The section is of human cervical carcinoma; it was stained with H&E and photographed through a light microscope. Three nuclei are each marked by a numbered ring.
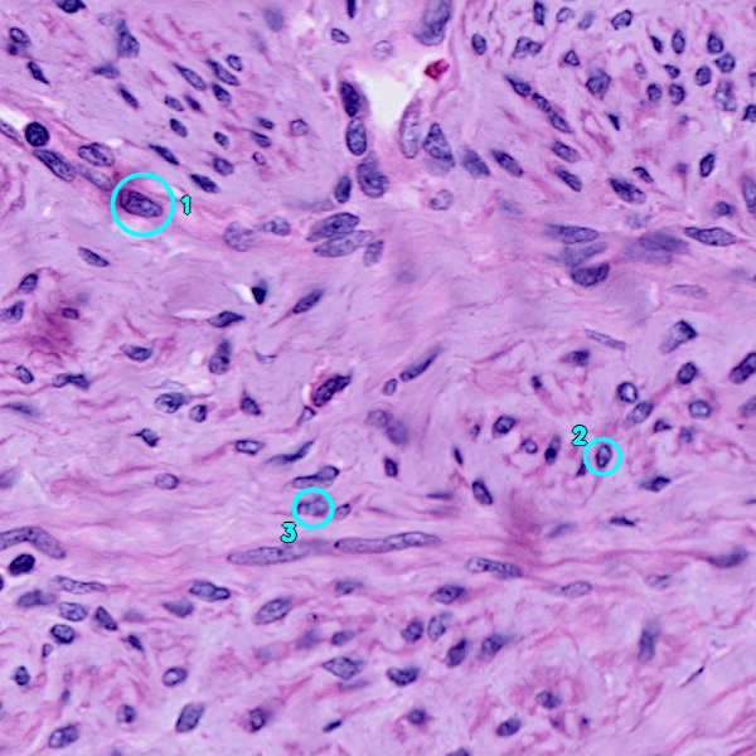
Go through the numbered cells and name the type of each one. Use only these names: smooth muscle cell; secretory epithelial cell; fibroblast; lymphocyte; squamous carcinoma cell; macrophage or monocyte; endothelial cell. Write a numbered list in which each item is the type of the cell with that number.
1. endothelial cell
2. smooth muscle cell
3. smooth muscle cell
